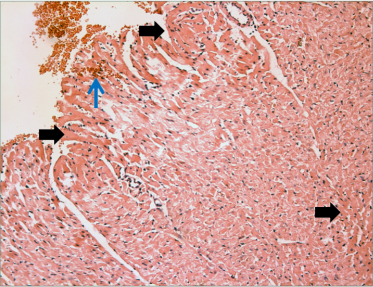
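This is heart muscle: pink cardiac muscle fibers, cut partly along and partly across, with small dark purple elongated nuclei scattered between them and thin pale clefts separating bundles. At the upper left the tissue margin is ragged, and a clump of orange-red granular material, consistent with extravasated red blood cells, lies against it outside the fibers, a focus of hemorrhage. Some fibers near the edge and toward the right look more intensely and uniformly pink than their neighbours, an eosinophilic enhancement of the muscle. The rest of the myocardium keeps its ordinary fiber arrangement.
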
